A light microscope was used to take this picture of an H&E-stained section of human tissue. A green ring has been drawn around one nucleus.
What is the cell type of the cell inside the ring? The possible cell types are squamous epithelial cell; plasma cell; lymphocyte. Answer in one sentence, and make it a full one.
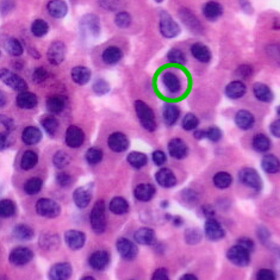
Within this tissue, the cell inside the ring is a plasma cell.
